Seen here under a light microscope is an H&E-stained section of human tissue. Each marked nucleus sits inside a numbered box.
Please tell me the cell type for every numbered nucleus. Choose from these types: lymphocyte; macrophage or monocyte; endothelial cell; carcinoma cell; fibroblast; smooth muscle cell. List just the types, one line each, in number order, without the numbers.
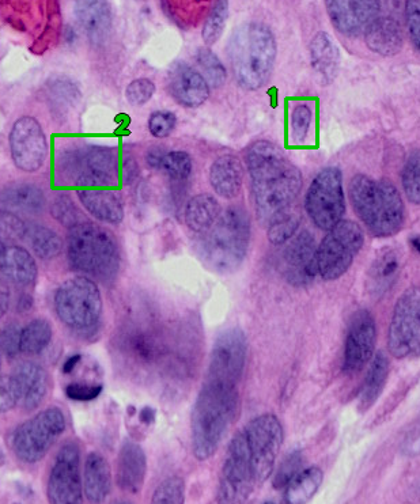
macrophage or monocyte
carcinoma cell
